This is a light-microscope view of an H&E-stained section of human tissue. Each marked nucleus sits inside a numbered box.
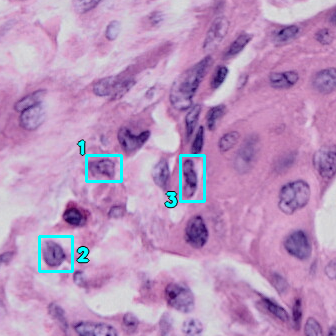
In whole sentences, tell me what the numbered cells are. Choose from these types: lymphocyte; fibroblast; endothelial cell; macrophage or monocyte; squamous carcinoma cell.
Cell 1 is a macrophage or monocyte, cell 2 is a macrophage or monocyte and cell 3 is a squamous carcinoma cell.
